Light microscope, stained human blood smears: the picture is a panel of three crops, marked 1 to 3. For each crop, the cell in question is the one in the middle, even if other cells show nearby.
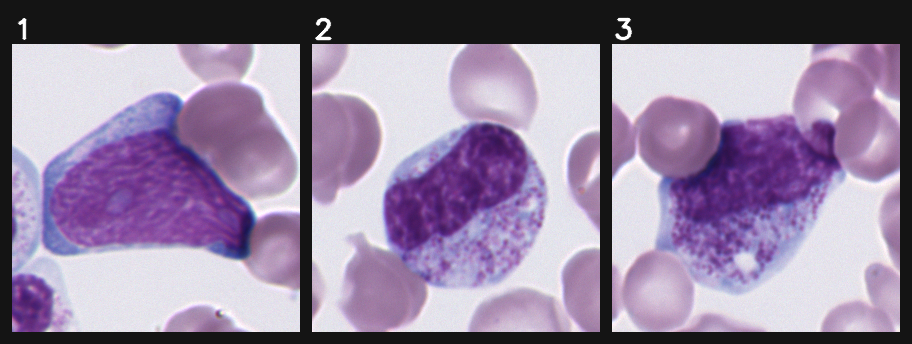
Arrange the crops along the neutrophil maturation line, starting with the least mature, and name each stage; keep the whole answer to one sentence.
The order from least to most mature is crop 1 (a blast), crop 3 (a myelocyte) and crop 2 (a band neutrophil).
